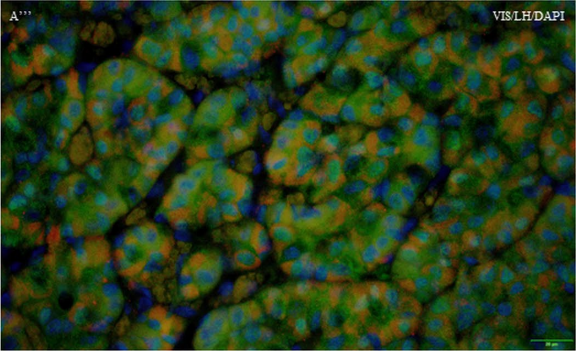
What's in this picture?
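This is glandular tissue of the pituitary, made of closely packed polygonal endocrine cells. The cells are grouped into rounded clusters separated by thin dark strands of connective tissue. Each cell has one round to oval blue nucleus, often lying towards the edge of the cell. The cytoplasm is filled with green label, and in many cells it overlaps with red to give a yellow to orange tone.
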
